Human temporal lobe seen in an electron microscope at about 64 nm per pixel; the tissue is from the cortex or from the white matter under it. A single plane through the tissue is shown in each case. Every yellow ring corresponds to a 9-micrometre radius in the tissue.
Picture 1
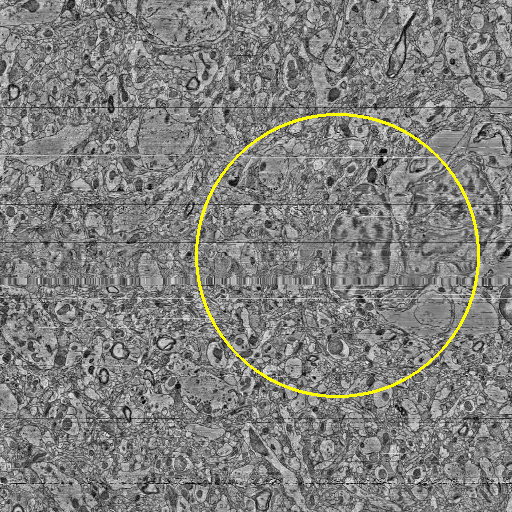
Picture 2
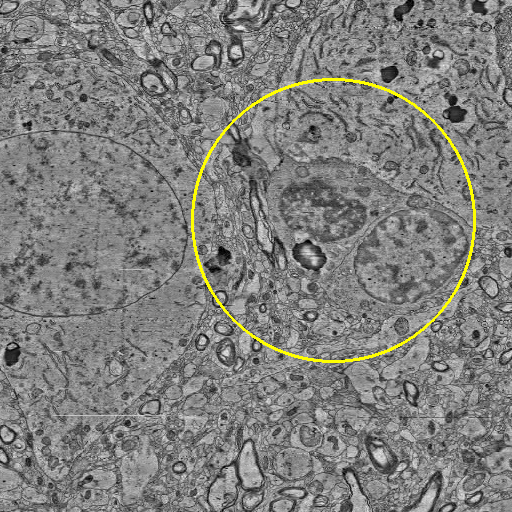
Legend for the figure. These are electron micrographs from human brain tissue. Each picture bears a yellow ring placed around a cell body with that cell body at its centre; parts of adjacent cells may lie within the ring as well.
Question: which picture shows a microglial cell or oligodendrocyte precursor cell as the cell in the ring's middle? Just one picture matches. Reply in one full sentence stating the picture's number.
It is picture 1 whose yellow ring is centred on the requested cell.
